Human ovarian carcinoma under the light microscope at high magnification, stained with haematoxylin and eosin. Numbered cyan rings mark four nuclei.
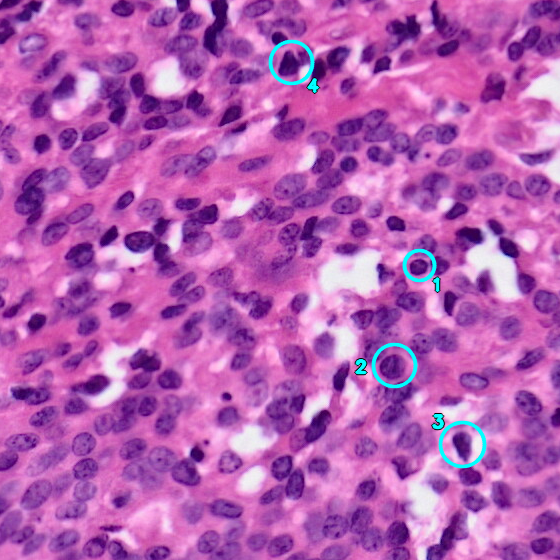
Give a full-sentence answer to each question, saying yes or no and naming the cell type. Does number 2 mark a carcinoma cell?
Yes, number 2 is assigned to a cell that is a carcinoma cell.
